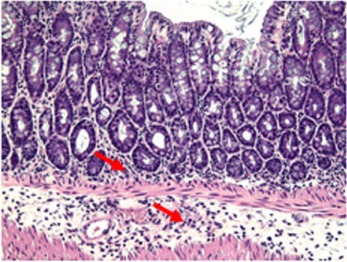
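This colon section shows mucosal crypts cut partly across, many appearing as round rings of purple epithelium with pale openings, over a widened pale layer and pink muscle. The layer beneath the crypts is loose and broadened, holding scattered small dark nuclei and a blood vessel. Inflammatory cells lie among the crypt bases and in this loosened layer. These are signs of inflamed colonic wall with infiltrating cells.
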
